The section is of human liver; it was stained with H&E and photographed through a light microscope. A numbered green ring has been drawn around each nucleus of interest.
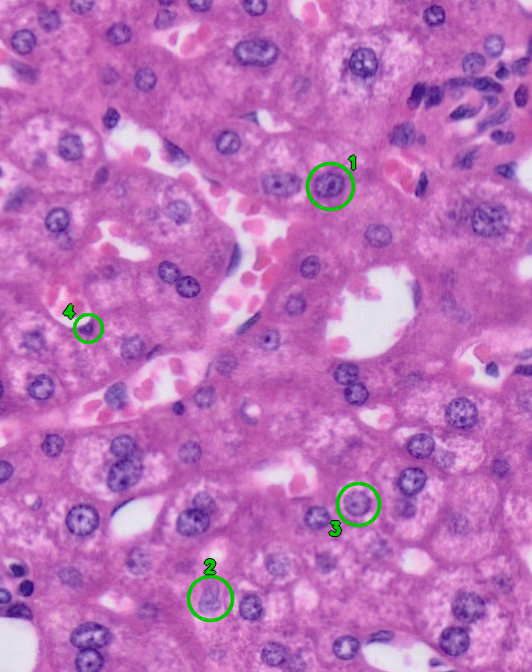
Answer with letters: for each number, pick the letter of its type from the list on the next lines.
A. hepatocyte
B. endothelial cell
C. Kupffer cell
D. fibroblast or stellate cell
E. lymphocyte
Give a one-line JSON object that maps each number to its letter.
{"1": "A", "2": "C", "3": "A", "4": "D"}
